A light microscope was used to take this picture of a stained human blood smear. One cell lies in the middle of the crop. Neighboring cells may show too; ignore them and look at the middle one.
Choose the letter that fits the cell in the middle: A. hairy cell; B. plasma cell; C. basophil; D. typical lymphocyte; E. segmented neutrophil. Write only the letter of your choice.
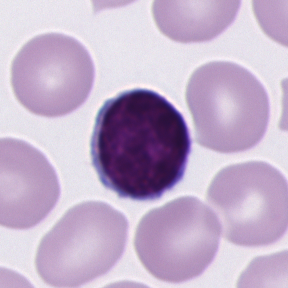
D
